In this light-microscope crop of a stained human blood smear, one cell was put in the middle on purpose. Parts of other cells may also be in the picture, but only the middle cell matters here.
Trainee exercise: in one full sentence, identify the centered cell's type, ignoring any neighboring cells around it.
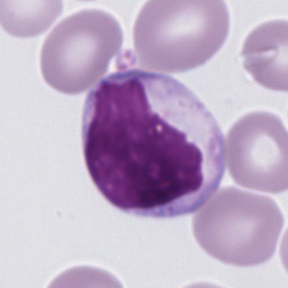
This crop's central cell is a large granular lymphocyte.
